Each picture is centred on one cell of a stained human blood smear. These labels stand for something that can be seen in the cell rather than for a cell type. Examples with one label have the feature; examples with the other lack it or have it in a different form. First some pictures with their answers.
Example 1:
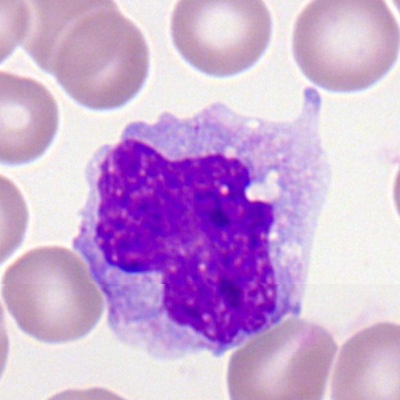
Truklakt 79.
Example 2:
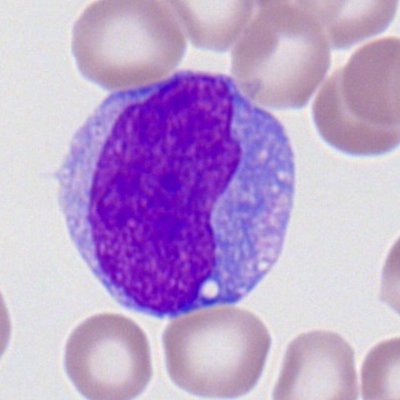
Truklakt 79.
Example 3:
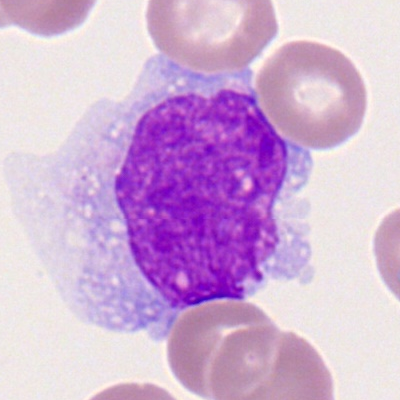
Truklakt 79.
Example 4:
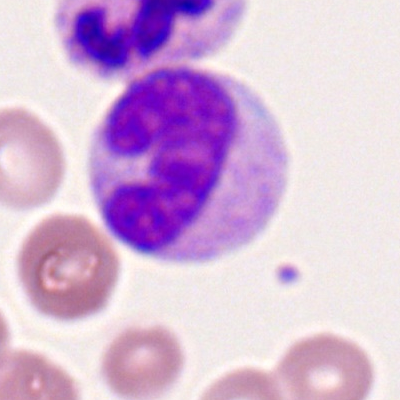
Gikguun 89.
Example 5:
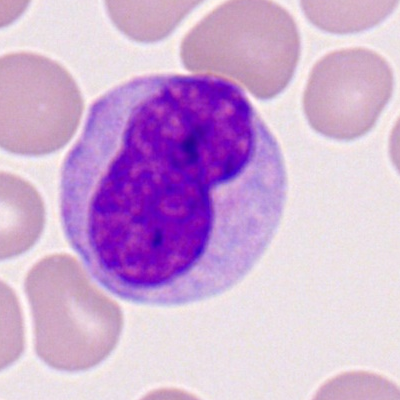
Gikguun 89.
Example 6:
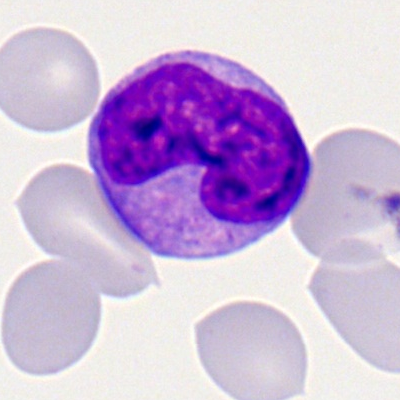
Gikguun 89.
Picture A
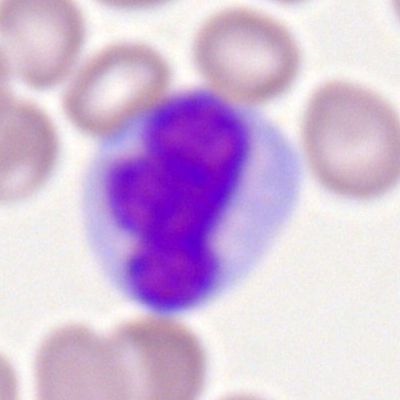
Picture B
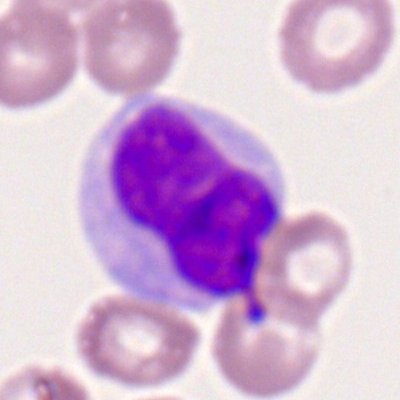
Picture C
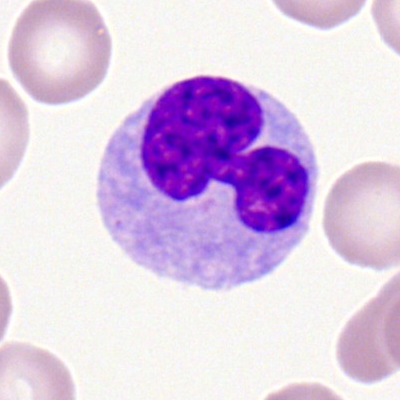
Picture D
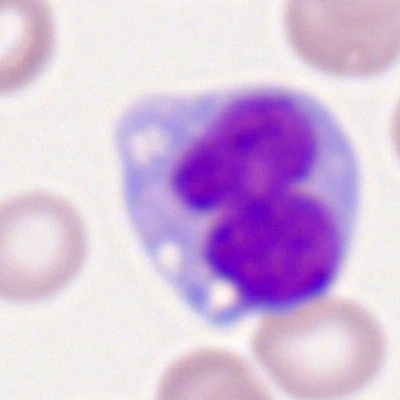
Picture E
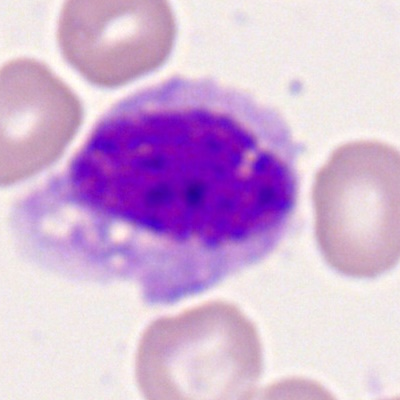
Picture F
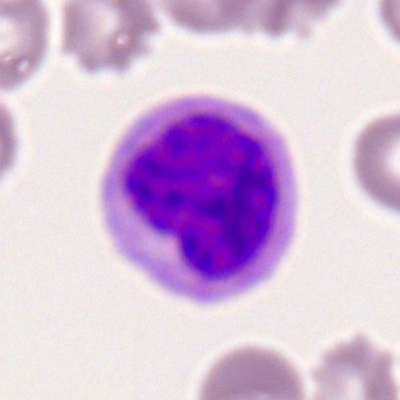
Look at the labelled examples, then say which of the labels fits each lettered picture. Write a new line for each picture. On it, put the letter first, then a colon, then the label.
A: Gikguun 89.
B: Gikguun 89.
C: Gikguun 89.
D: Truklakt 79.
E: Truklakt 79.
F: Gikguun 89.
